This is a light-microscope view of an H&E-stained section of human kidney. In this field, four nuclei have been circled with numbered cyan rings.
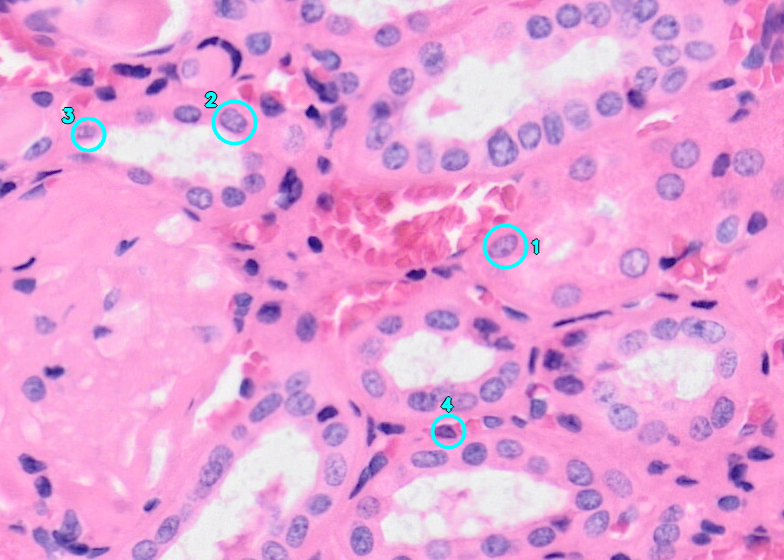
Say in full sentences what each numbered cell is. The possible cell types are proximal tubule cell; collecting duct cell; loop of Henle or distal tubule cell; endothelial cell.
Cell 1 is a proximal tubule cell, cell 2 is a loop of Henle or distal tubule cell, cell 3 is a loop of Henle or distal tubule cell and cell 4 is an endothelial cell.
